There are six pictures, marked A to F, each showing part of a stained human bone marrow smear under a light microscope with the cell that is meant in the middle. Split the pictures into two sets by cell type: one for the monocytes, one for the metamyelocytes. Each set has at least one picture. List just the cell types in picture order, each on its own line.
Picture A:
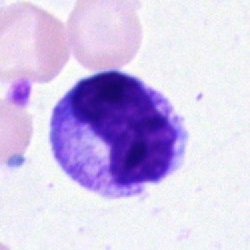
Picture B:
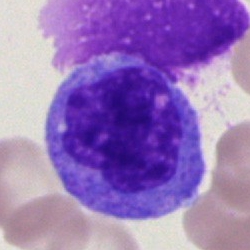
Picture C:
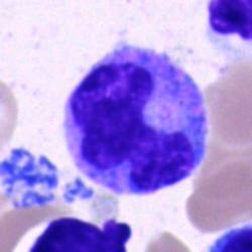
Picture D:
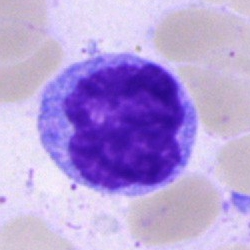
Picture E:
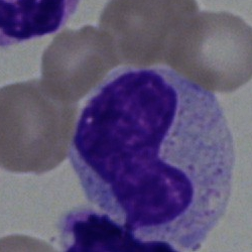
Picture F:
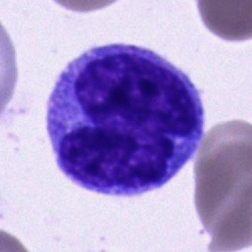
metamyelocyte
monocyte
monocyte
monocyte
metamyelocyte
monocyte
